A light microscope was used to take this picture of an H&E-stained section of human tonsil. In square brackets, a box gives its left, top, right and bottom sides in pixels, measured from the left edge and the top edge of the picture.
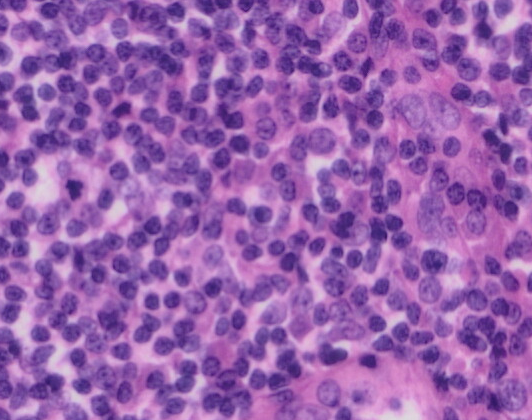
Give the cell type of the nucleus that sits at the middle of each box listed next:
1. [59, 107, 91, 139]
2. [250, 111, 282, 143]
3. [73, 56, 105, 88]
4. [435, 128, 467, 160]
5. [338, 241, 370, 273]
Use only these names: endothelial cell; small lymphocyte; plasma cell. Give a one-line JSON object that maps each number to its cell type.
{"1": "small lymphocyte", "2": "plasma cell", "3": "small lymphocyte", "4": "endothelial cell", "5": "small lymphocyte"}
